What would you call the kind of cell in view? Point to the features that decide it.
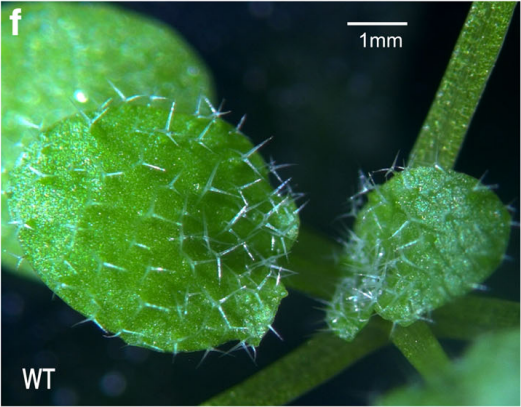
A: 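Leaf trichomes. Many fine white spikes project from the leaf blade.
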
